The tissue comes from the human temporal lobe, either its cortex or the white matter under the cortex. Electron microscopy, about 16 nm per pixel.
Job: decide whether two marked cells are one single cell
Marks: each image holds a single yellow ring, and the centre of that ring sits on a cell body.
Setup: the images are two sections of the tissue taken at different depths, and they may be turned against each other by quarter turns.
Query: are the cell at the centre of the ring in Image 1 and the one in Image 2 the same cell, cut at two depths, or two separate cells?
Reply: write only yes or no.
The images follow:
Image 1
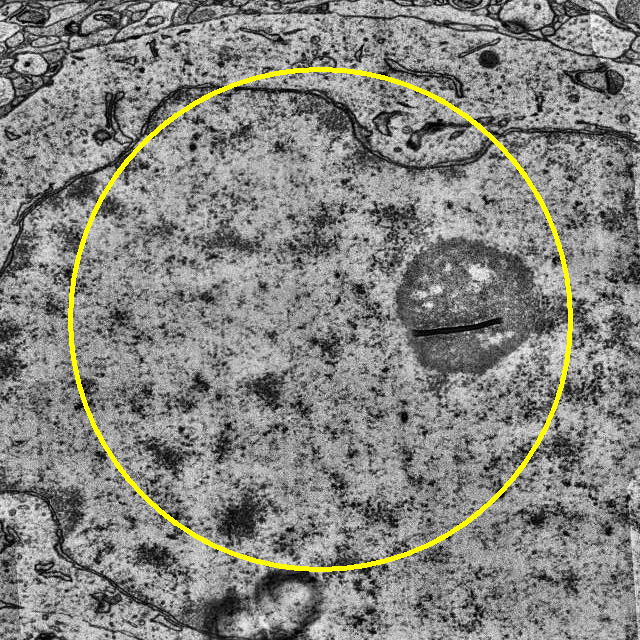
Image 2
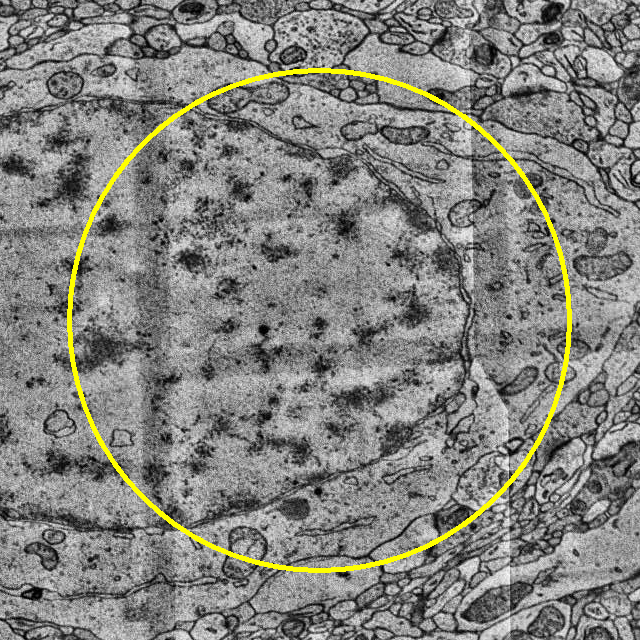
no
